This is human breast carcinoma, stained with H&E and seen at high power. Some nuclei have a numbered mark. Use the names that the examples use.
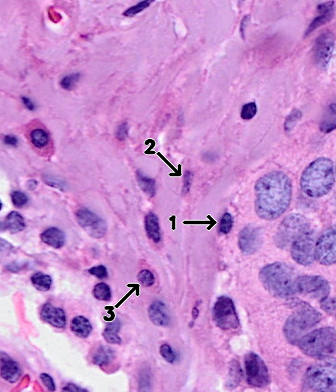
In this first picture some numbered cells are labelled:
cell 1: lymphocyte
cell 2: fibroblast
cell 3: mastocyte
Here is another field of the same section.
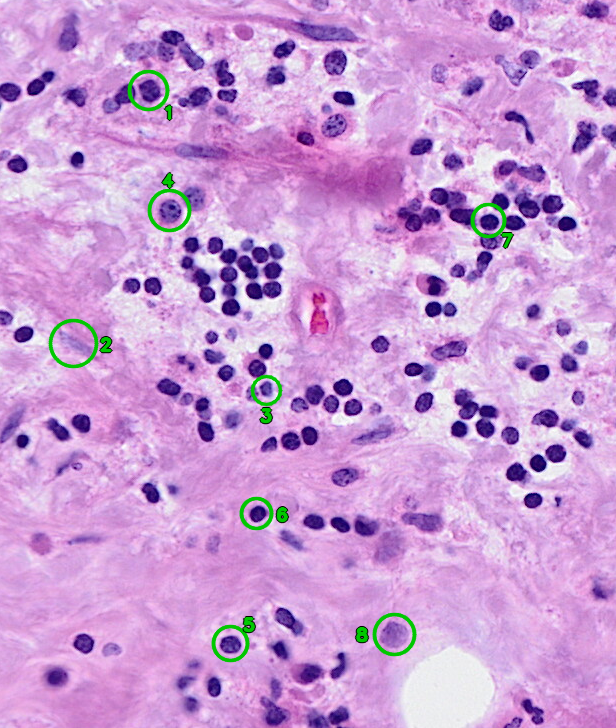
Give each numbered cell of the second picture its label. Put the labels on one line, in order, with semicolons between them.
lymphocyte; fibroblast; lymphocyte; mastocyte; lymphocyte; lymphocyte; lymphocyte; fibroblast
